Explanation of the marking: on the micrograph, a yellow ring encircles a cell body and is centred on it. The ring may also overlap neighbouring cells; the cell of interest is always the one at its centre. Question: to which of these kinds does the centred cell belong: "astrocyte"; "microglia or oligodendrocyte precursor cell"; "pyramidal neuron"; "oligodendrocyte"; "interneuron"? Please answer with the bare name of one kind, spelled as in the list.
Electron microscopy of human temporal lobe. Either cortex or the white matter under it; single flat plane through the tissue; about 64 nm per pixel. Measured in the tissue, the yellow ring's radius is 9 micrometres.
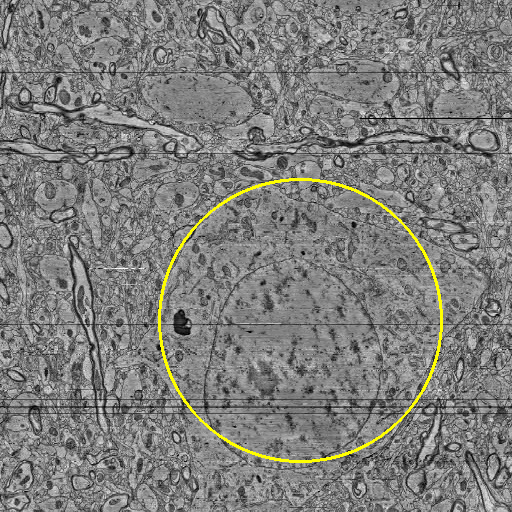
pyramidal neuron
